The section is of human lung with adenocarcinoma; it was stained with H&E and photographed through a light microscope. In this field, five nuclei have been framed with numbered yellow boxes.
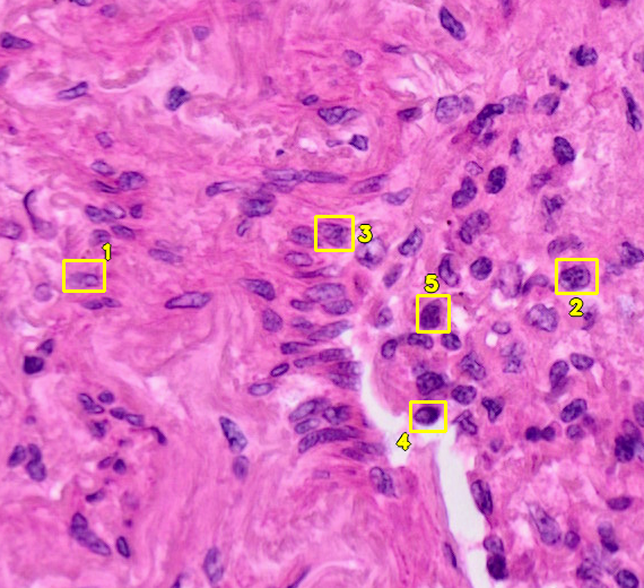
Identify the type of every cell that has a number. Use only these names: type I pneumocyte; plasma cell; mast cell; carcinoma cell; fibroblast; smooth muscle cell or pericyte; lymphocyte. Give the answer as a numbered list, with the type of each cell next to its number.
1. smooth muscle cell or pericyte
2. plasma cell
3. smooth muscle cell or pericyte
4. lymphocyte
5. plasma cell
